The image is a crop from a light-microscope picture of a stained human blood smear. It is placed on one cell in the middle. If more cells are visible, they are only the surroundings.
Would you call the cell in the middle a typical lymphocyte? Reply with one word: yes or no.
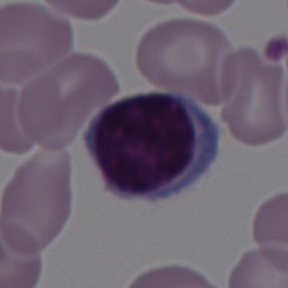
yes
